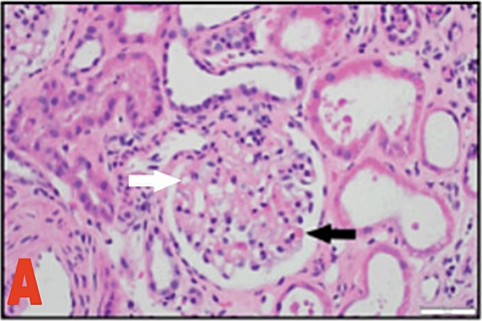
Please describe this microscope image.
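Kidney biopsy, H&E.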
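This is renal cortex with a single glomerulus in the centre, surrounded by a clear Bowman's space and a ring of tubules lined by pink epithelial cells. Some capillary loops of the tuft have thick, glassy pink walls, and some lumens are plugged with homogeneous pink material. The surrounding interstitium holds scattered purple nuclei between the tubules.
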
